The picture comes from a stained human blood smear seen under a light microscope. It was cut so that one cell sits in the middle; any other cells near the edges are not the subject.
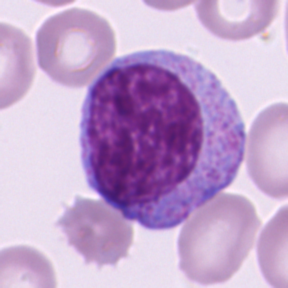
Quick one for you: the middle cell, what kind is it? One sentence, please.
Here the cell in the middle is a promyelocyte.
